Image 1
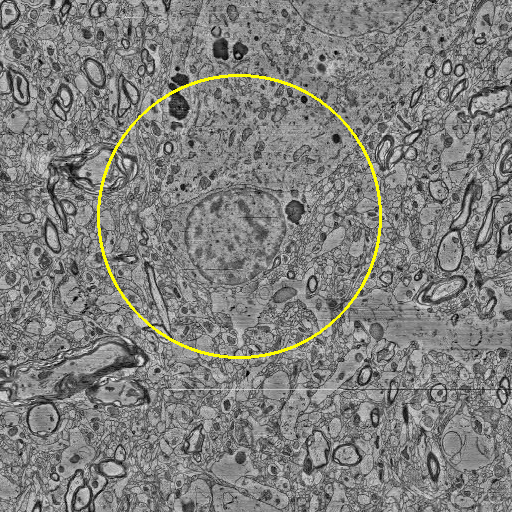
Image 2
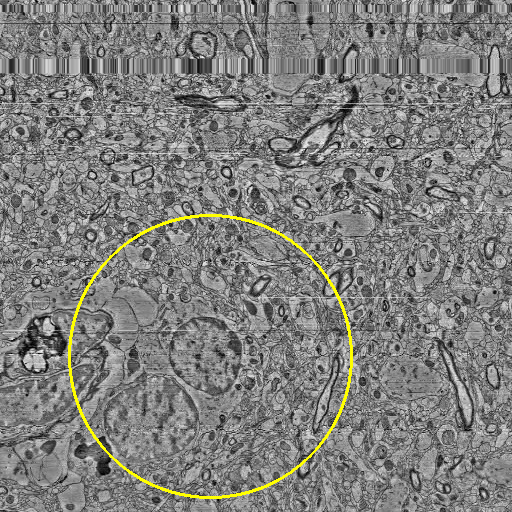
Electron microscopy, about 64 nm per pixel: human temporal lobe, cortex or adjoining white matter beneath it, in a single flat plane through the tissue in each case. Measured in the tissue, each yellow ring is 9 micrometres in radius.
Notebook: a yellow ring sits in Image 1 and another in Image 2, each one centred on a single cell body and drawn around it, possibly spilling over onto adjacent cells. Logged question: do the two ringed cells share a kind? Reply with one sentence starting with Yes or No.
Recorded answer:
No, the centre cells inside the rings of Image 1 and Image 2 are of two kinds.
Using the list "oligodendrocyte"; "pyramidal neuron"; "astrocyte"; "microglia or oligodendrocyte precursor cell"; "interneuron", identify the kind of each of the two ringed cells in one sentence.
The first is an oligodendrocyte and the second is a microglial cell or oligodendrocyte precursor cell.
